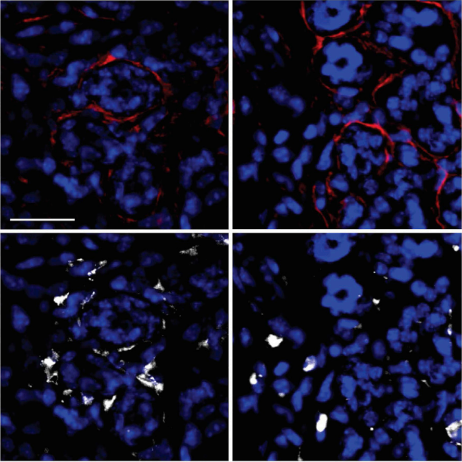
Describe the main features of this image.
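Densely packed blue nuclei outline round, tube-like epithelial profiles, and between them lie a few stained stromal cells. In the top images thin red threads wrap around these round profiles in the narrow spaces between them, while in the bottom images scattered bright grey cells with compact, irregular shapes sit in the same gaps.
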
